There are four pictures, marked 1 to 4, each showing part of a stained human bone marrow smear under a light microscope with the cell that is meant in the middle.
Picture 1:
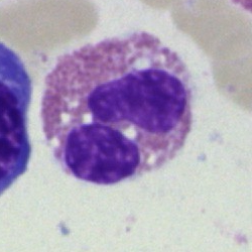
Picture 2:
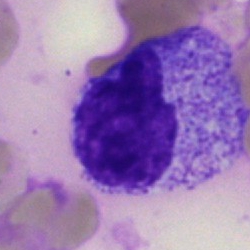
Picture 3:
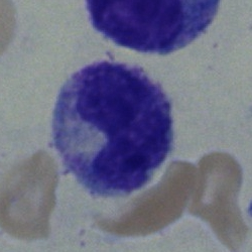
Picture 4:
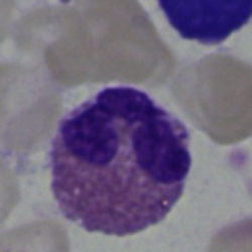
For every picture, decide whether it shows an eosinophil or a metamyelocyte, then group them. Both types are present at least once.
1: eosinophil
2: metamyelocyte
3: metamyelocyte
4: eosinophil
